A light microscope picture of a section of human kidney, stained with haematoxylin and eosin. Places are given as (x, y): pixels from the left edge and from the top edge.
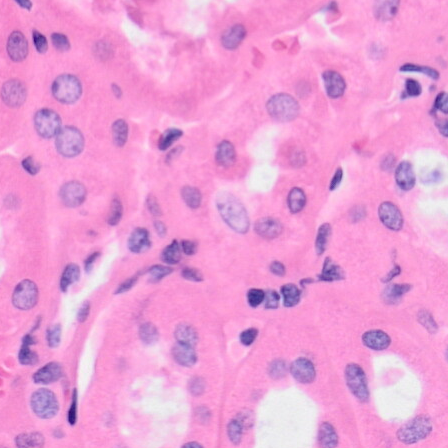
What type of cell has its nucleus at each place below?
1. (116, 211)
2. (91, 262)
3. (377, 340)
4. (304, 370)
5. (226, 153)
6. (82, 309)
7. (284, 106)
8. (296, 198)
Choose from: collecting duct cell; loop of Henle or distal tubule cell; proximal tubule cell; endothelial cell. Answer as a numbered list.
1. collecting duct cell
2. collecting duct cell
3. loop of Henle or distal tubule cell
4. loop of Henle or distal tubule cell
5. proximal tubule cell
6. collecting duct cell
7. proximal tubule cell
8. proximal tubule cell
